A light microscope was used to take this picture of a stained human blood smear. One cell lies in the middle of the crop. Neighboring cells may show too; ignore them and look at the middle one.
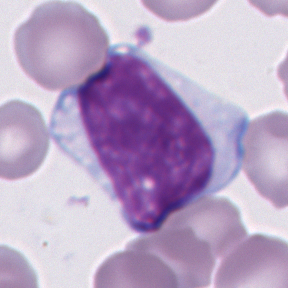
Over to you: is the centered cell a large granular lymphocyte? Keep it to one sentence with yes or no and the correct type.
No, the middle cell is classified as a myeloblast instead of a large granular lymphocyte.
